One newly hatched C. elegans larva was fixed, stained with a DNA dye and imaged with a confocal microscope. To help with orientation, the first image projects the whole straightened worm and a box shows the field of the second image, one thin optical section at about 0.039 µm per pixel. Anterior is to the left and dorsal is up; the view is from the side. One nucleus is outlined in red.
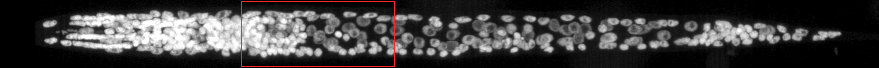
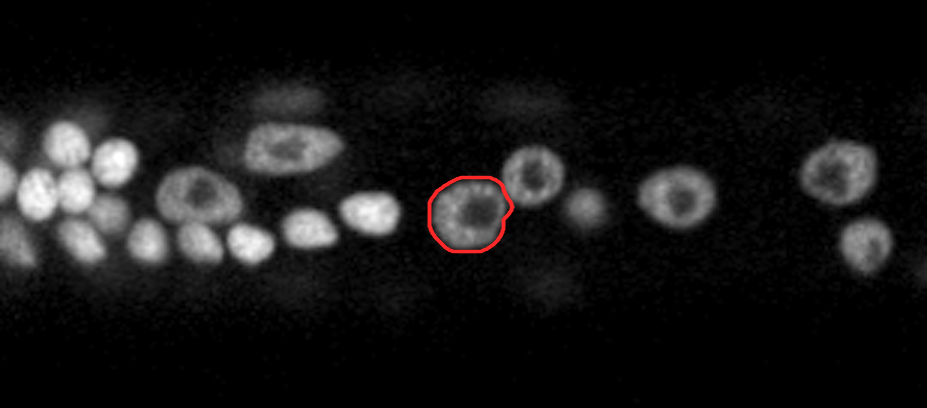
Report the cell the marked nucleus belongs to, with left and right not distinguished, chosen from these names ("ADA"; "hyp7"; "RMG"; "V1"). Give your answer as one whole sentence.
The marked nucleus belongs to hyp7, a hypodermal cell (hyp).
